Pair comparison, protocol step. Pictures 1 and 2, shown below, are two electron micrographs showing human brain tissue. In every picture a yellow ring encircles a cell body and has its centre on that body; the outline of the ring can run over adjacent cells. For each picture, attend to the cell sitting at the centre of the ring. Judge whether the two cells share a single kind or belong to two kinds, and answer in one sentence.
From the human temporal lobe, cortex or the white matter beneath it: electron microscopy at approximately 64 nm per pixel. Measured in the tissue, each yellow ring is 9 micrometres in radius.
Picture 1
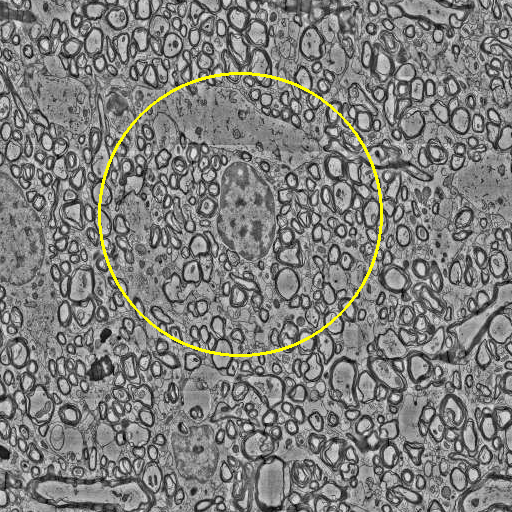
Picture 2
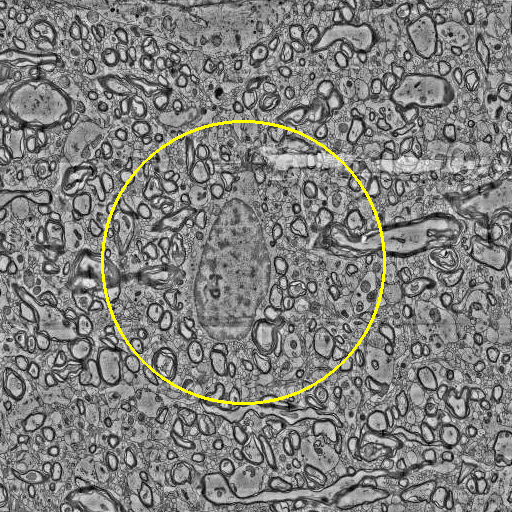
The two cells at the ring centres in Picture 1 and Picture 2 belong to two kinds.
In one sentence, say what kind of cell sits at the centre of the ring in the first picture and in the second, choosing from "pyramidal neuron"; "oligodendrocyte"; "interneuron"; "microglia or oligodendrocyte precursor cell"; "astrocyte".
The first picture's ringed cell is a microglial cell or oligodendrocyte precursor cell, while the second picture's is an oligodendrocyte.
